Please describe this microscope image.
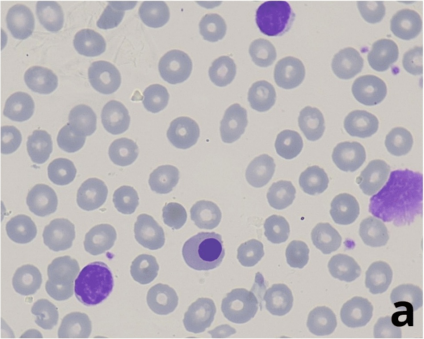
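This is a peripheral blood smear with many pale red cells and a few white cells among them. Two small lymphocytes have round, dense purple nuclei with only a thin rim of cytoplasm. At the right edge lies a smudge cell, a flattened purple smear of nuclear material without a clear cell outline.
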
